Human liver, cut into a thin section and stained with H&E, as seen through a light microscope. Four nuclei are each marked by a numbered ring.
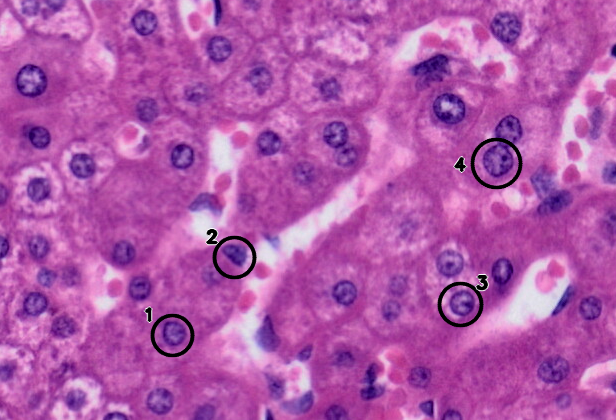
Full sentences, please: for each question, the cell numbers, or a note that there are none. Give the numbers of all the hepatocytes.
When it comes to cells 1, 3 and 4, they are hepatocytes.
